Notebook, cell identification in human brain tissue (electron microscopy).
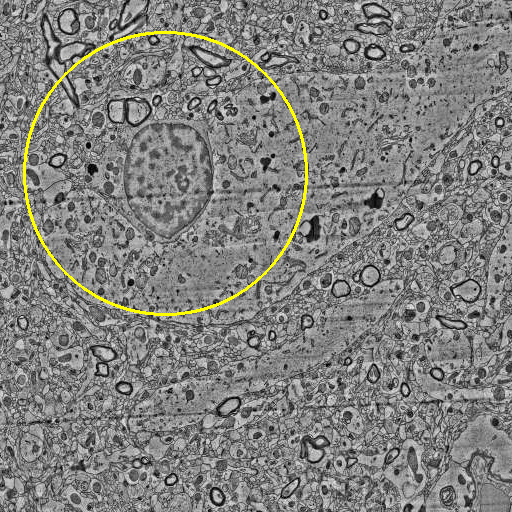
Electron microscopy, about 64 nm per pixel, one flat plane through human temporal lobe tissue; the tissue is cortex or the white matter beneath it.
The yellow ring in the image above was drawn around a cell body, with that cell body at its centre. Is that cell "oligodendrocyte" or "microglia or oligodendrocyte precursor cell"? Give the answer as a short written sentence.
The cell in the ring is an oligodendrocyte.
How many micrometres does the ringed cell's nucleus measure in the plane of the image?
Roughly 7 micrometres by 6 micrometres, in this plane.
